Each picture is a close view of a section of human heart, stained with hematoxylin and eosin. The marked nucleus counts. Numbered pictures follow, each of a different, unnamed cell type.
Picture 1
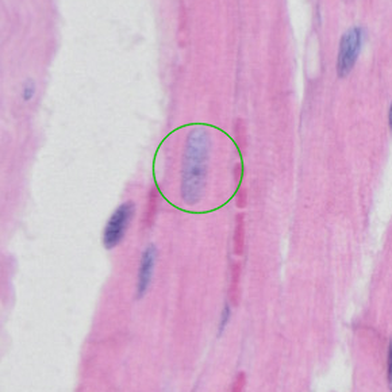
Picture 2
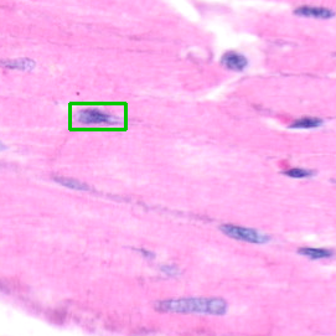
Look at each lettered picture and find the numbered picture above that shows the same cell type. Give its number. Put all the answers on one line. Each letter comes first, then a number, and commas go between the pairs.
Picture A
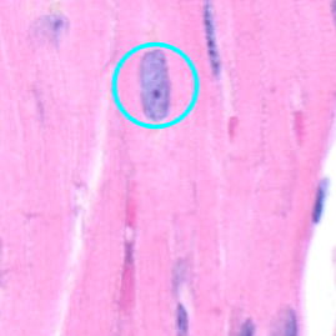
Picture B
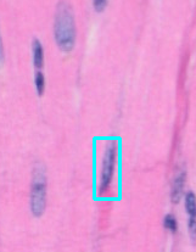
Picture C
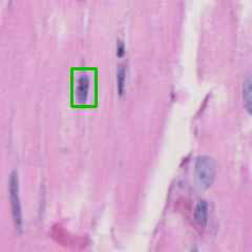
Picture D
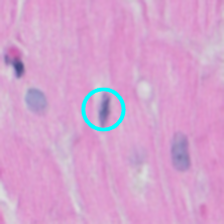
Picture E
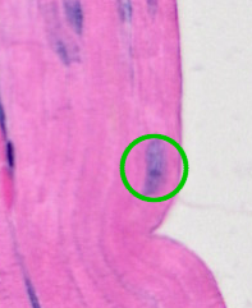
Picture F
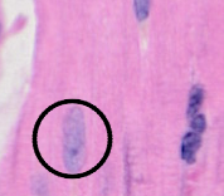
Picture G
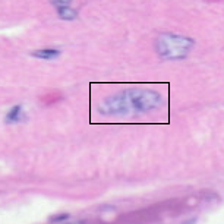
A 1, B 2, C 2, D 2, E 1, F 1, G 1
